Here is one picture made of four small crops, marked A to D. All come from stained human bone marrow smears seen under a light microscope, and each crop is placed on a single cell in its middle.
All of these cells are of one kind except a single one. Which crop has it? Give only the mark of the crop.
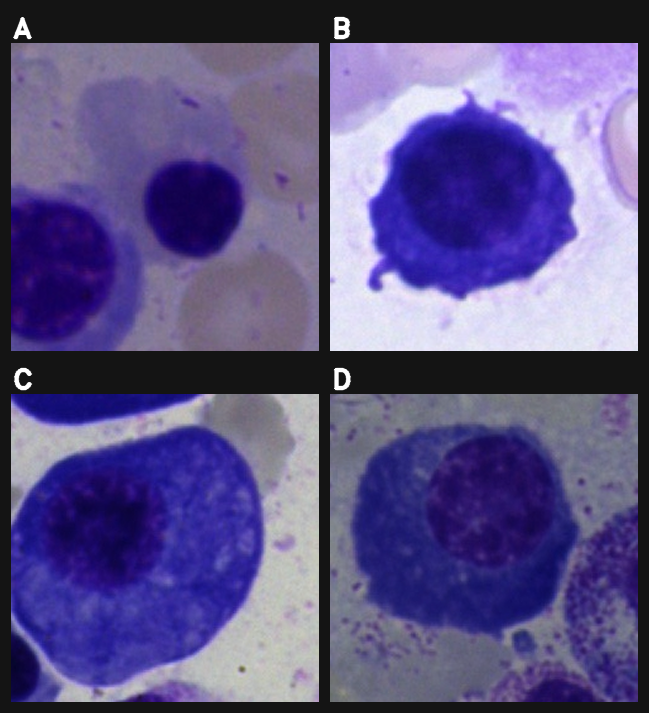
A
